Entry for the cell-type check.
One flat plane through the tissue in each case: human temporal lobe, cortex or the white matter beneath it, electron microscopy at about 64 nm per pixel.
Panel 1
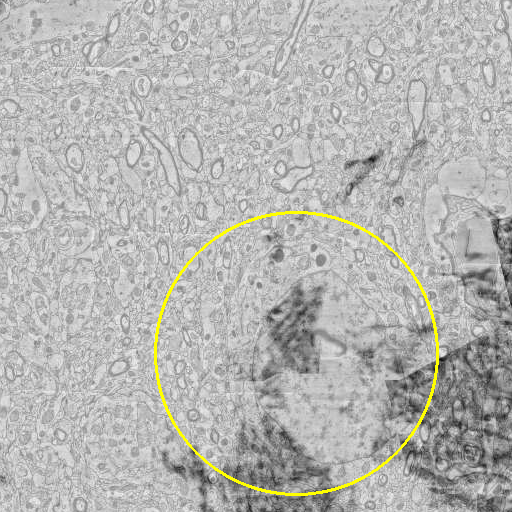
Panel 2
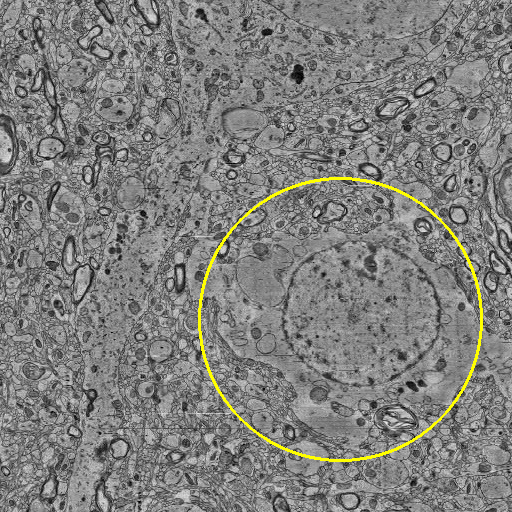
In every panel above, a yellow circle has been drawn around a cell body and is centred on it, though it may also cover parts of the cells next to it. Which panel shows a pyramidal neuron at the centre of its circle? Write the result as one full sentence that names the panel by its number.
Panel 1 shows it at the centre of its circle.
